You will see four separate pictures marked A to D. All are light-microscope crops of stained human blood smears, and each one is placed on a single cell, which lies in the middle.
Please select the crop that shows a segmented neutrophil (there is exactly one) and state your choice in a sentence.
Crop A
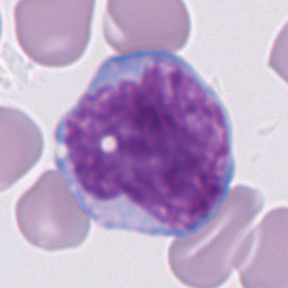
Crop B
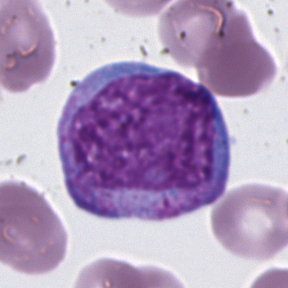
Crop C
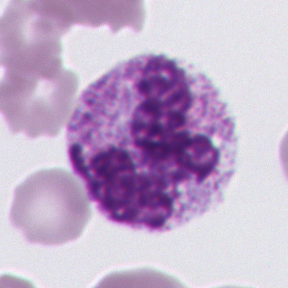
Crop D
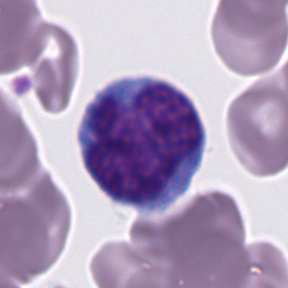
It is the cell in crop C that is a segmented neutrophil.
